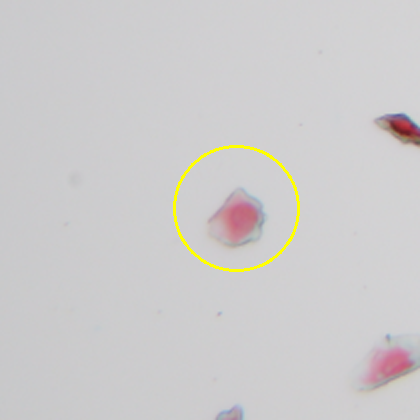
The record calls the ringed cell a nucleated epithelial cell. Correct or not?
Correct; it is a nucleated epithelial cell.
